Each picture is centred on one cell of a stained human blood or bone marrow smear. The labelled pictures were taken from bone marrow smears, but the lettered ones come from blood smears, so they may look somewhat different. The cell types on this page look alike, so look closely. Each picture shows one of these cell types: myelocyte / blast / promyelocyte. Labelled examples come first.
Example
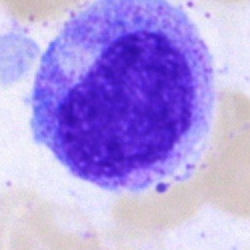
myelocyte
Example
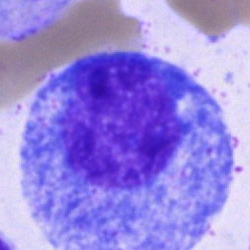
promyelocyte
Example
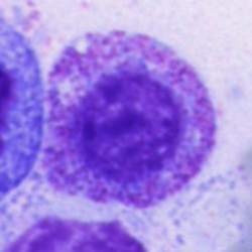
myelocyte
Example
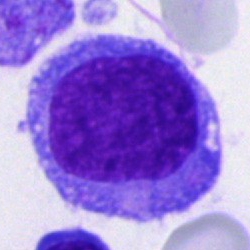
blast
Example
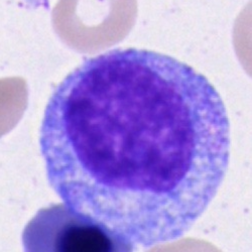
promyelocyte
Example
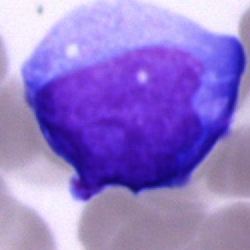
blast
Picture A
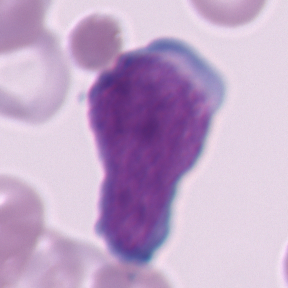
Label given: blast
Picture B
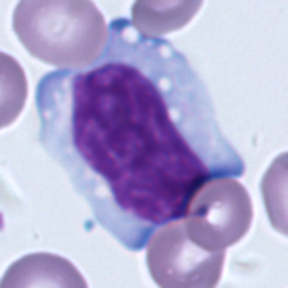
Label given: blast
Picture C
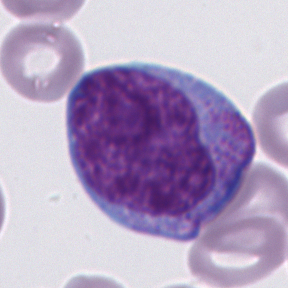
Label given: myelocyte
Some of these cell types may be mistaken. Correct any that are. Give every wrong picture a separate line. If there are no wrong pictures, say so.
C is labelled myelocyte; correct label: promyelocyte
